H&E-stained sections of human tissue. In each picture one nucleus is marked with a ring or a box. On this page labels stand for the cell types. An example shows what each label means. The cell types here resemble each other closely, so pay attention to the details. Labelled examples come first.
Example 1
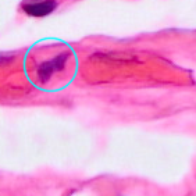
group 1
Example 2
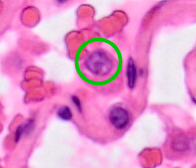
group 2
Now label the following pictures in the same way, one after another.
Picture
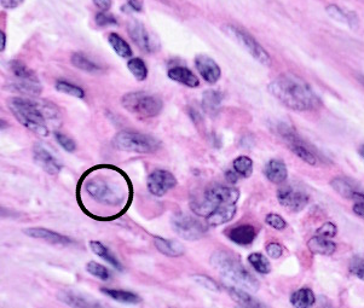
group 1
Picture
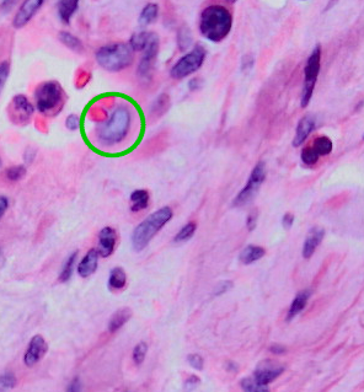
group 1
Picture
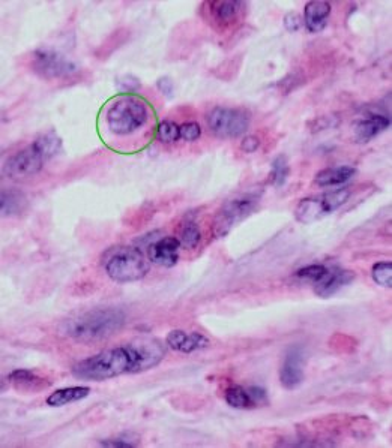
group 2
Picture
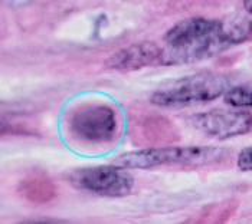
group 2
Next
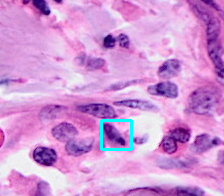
group 2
